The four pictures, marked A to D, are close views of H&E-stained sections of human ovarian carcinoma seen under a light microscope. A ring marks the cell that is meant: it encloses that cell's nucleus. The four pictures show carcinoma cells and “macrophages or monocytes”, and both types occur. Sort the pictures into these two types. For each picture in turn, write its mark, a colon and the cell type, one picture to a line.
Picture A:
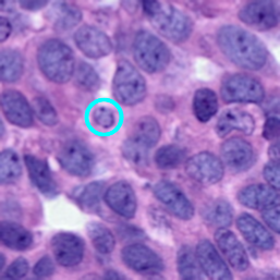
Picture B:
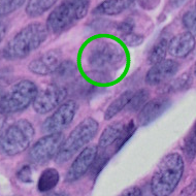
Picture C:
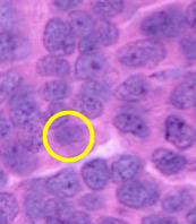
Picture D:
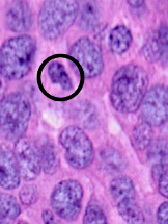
A: macrophage or monocyte
B: carcinoma cell
C: carcinoma cell
D: macrophage or monocyte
